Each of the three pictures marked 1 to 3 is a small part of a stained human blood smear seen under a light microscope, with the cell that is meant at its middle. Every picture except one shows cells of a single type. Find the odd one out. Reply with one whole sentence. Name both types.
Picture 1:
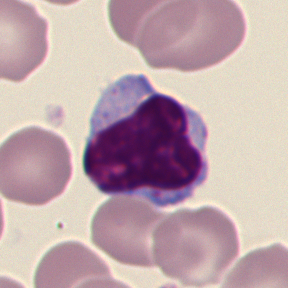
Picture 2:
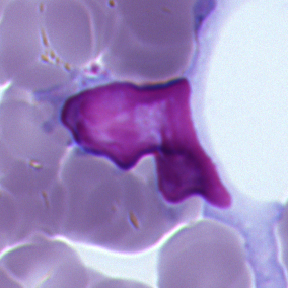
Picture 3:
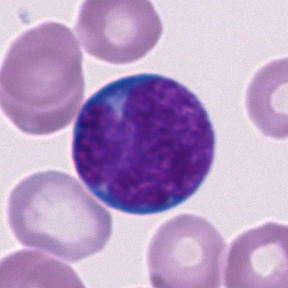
Picture 3 is the odd one out: it shows a myeloblast, while the others show typical lymphocytes.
